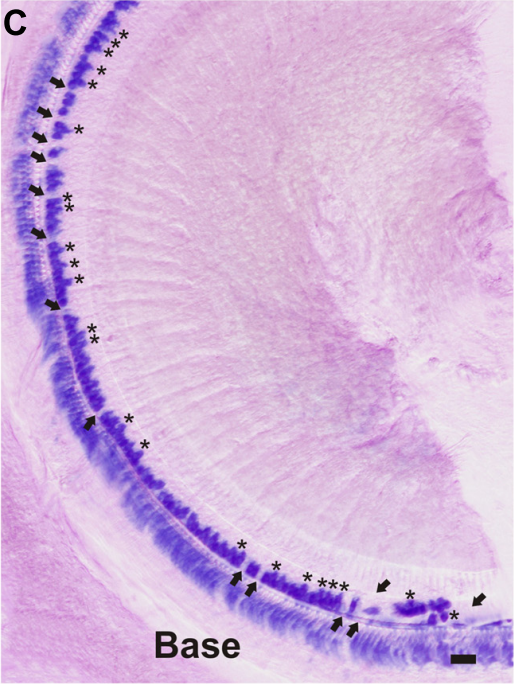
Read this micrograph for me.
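A single row of inner hair cells is stained a dense dark purple, lying just inside broader bands of purple-stained cells toward the outer edge. Along its length the row bulges in places with extra cells beside it, and small gaps interrupt it in others. Radial pale fibres fan out from the row toward the pinkish central area of the spiral.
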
